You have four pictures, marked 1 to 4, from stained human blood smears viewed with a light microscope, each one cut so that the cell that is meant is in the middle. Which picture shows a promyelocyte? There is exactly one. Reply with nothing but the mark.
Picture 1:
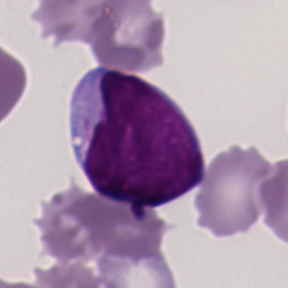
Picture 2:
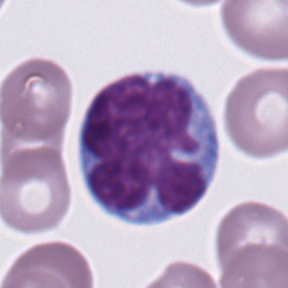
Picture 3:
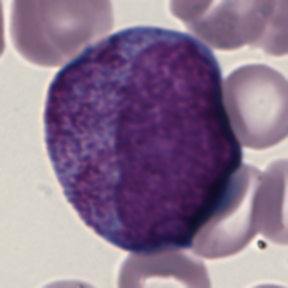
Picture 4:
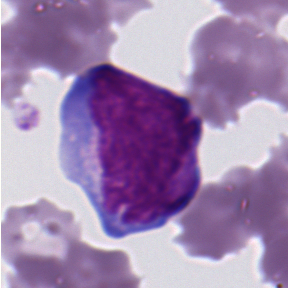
3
